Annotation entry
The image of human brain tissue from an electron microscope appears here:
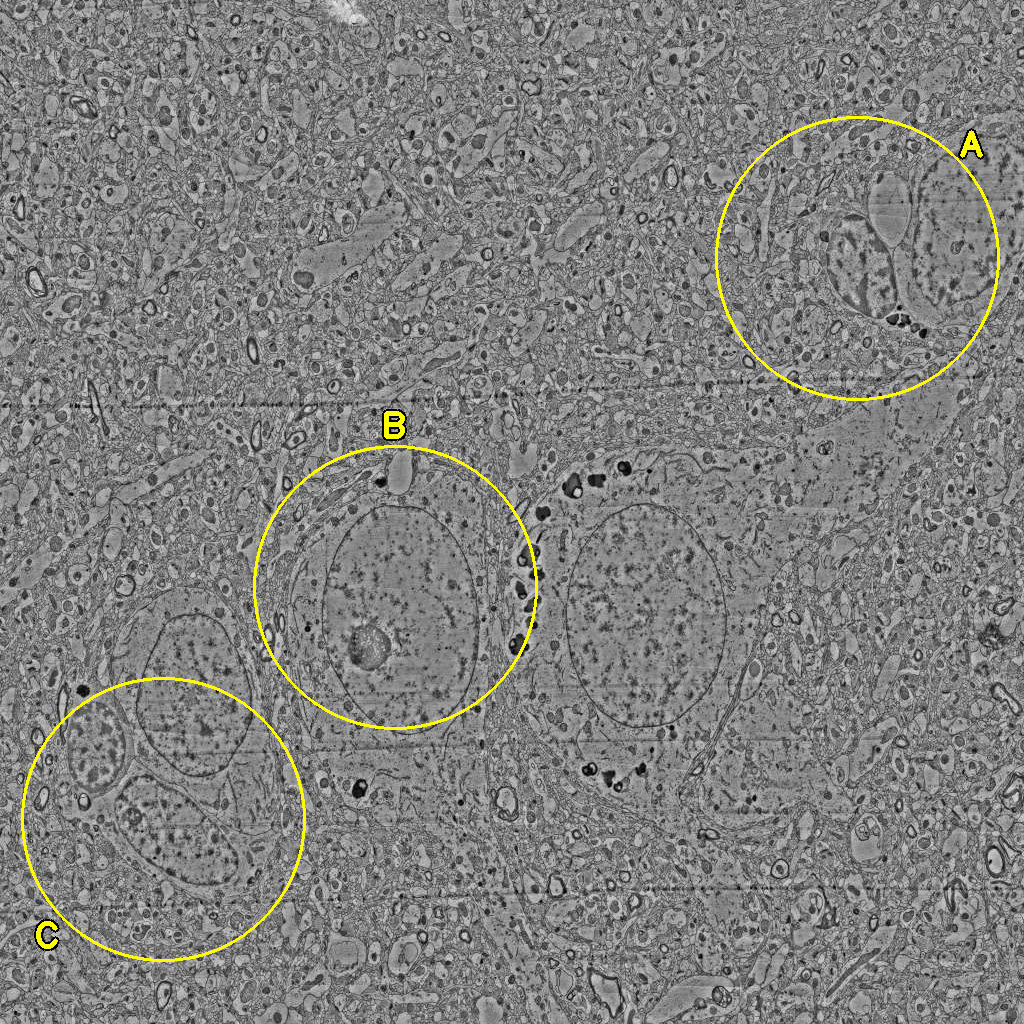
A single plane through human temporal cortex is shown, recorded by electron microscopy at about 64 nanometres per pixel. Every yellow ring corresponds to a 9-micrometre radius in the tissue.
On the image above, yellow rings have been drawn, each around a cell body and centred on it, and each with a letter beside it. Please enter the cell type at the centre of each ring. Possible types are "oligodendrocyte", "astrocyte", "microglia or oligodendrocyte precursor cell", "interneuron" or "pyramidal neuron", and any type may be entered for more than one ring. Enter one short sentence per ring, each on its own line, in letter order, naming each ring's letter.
The cell that ring A is centred on is a microglial cell or oligodendrocyte precursor cell.
The cell that ring B is centred on is a pyramidal neuron.
The cell that ring C is centred on is a microglial cell or oligodendrocyte precursor cell.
